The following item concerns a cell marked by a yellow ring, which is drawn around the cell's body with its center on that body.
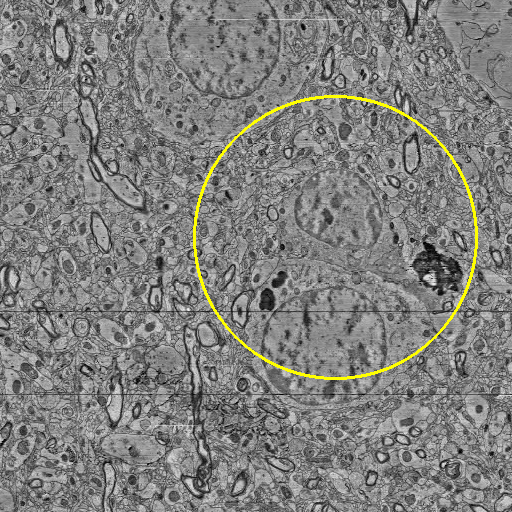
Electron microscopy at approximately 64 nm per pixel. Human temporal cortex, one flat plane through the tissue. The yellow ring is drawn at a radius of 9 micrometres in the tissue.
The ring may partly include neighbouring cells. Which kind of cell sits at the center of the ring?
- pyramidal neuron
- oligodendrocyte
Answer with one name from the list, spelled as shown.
oligodendrocyte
